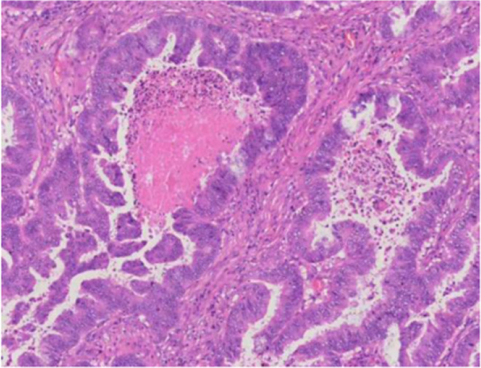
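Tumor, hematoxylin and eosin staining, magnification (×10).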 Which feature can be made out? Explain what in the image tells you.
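Tumor cells form irregular glands with branching lumens. Glands are separated by pink fibrous stroma.
Irregular acinar or sieve-like patterns.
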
